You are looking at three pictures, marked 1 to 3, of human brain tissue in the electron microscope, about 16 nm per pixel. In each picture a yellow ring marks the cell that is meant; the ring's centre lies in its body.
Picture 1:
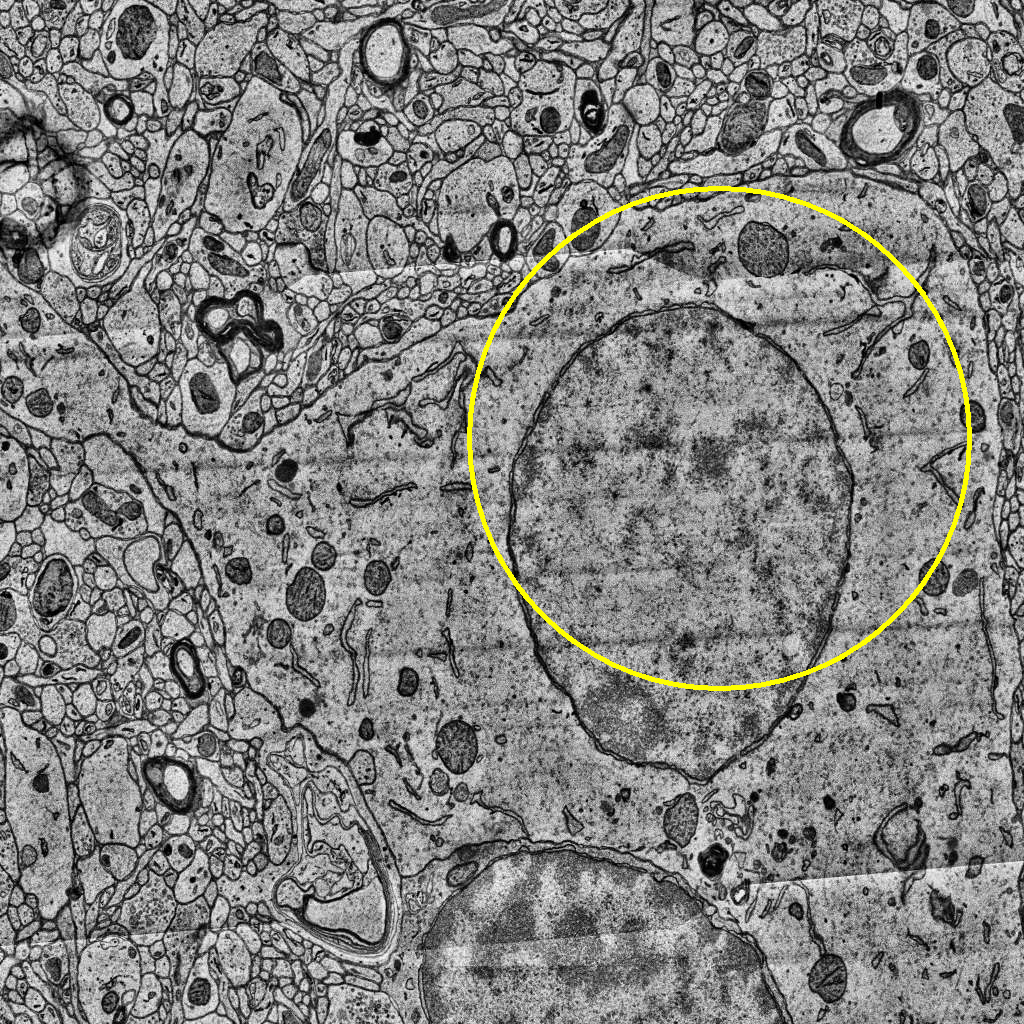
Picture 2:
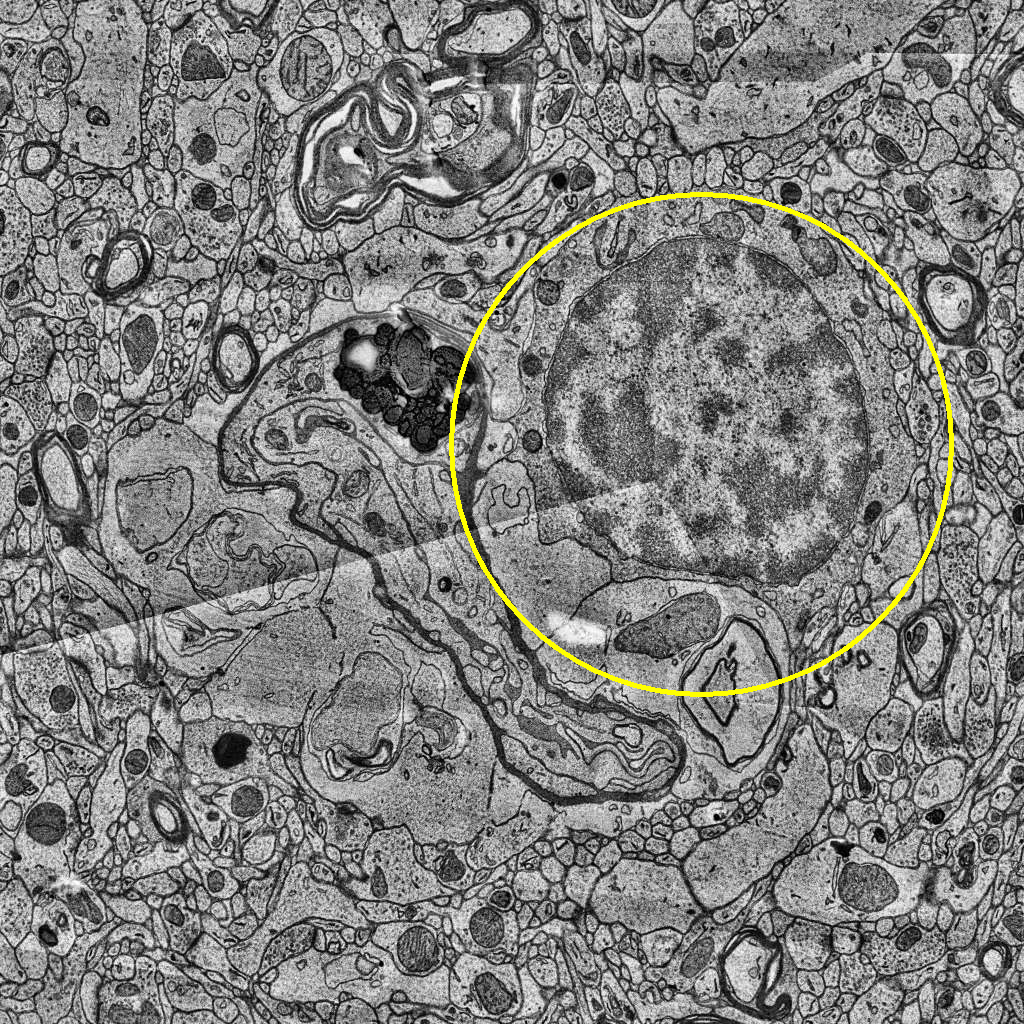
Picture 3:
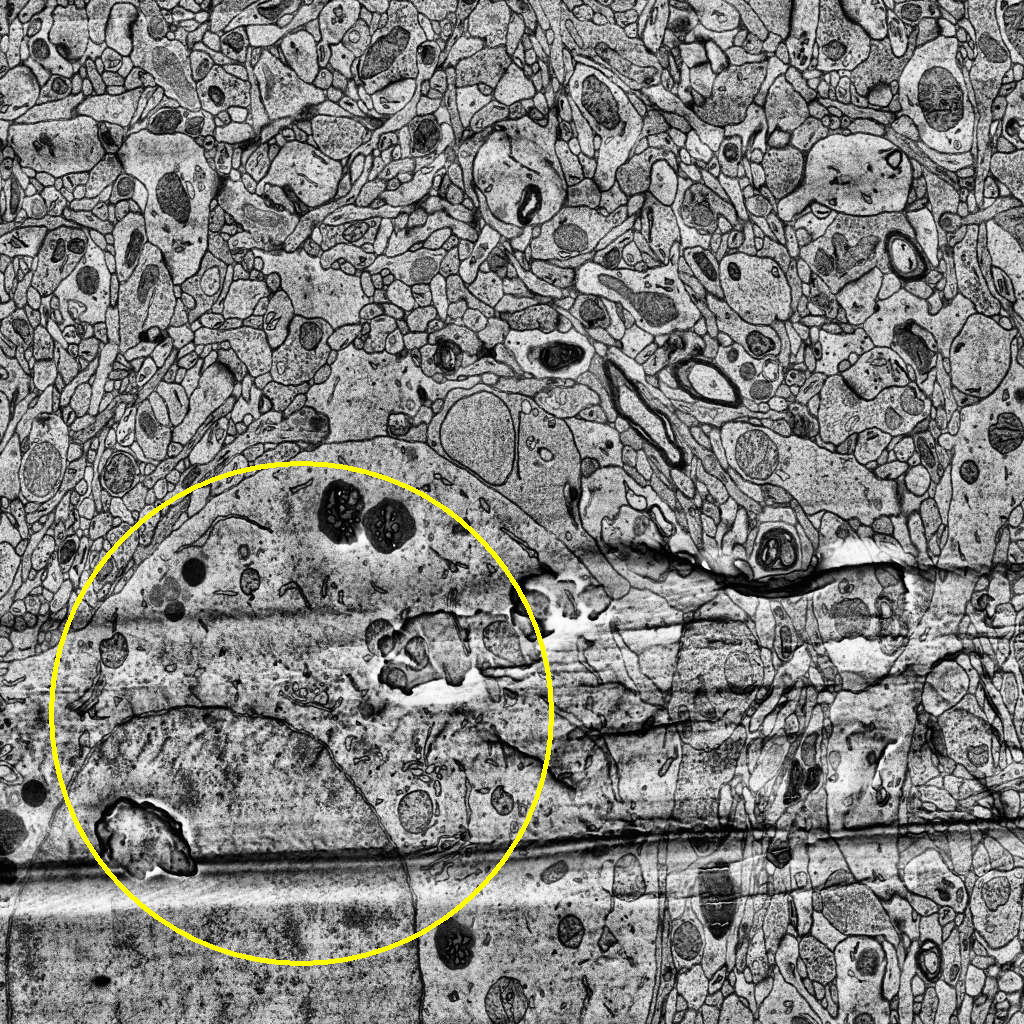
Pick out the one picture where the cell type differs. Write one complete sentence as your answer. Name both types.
The different one is picture 2; it shows an oligodendrocyte, whereas all the others show pyramidal neurons.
